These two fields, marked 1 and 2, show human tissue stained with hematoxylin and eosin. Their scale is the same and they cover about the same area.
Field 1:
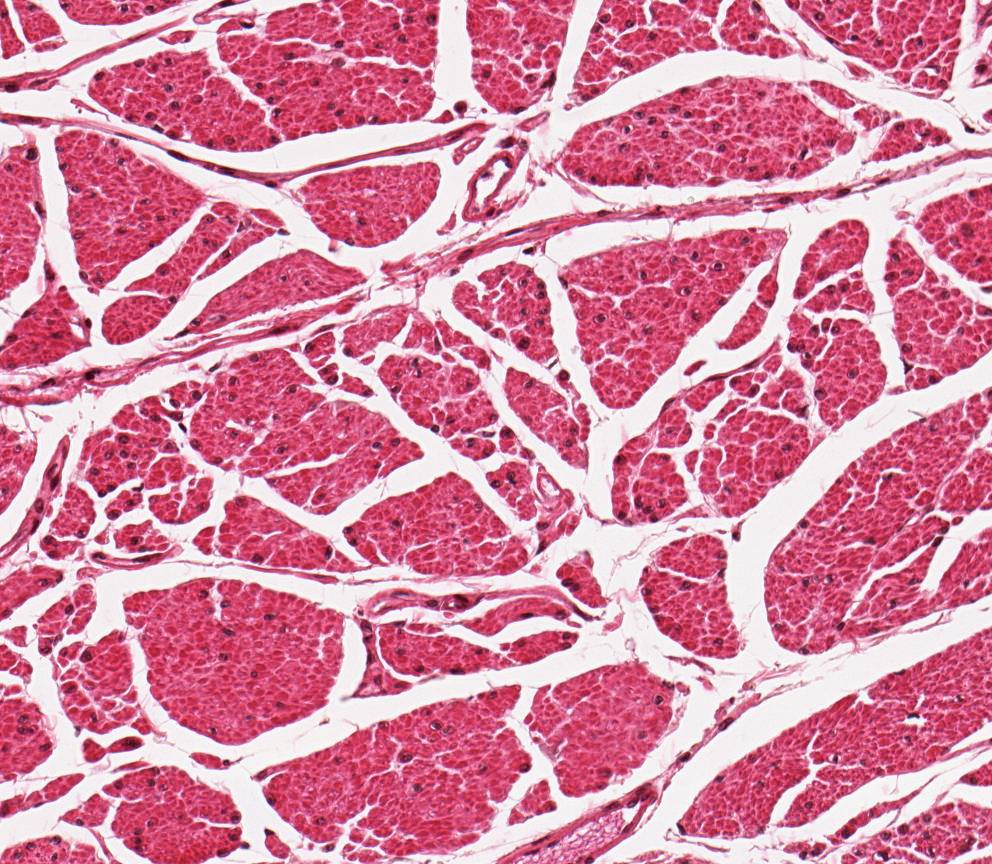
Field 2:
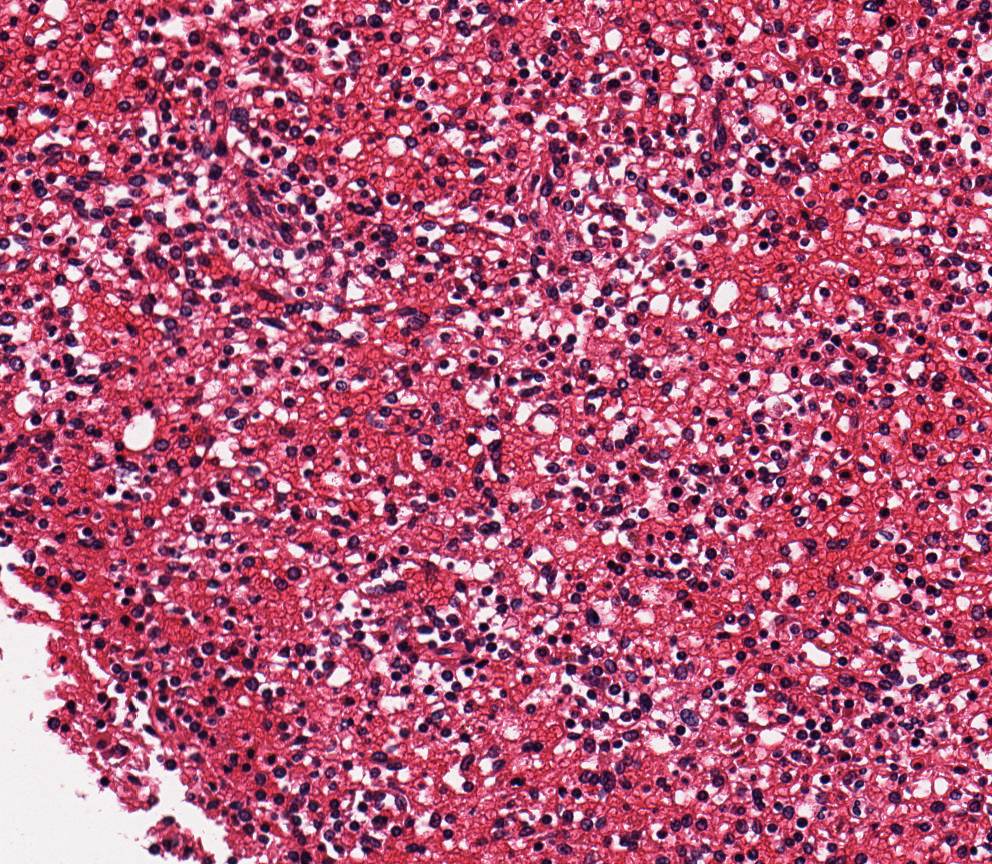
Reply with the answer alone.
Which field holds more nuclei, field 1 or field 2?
2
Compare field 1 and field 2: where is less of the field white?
2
